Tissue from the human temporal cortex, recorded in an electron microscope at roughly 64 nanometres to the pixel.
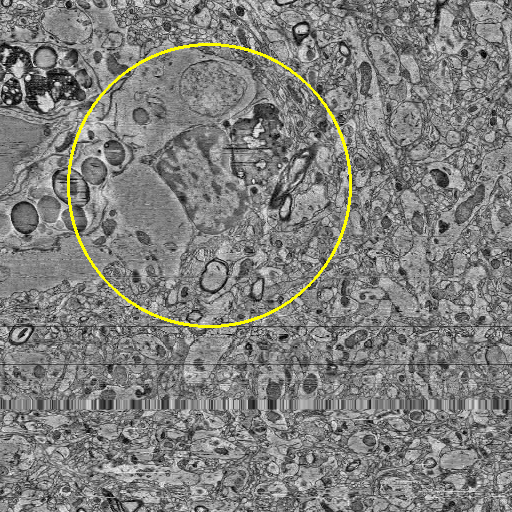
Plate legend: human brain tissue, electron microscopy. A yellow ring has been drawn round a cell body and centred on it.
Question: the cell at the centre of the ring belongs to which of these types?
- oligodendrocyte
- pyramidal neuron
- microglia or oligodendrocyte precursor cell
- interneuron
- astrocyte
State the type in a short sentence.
The cell in the middle of the ring is a microglial cell or oligodendrocyte precursor cell.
